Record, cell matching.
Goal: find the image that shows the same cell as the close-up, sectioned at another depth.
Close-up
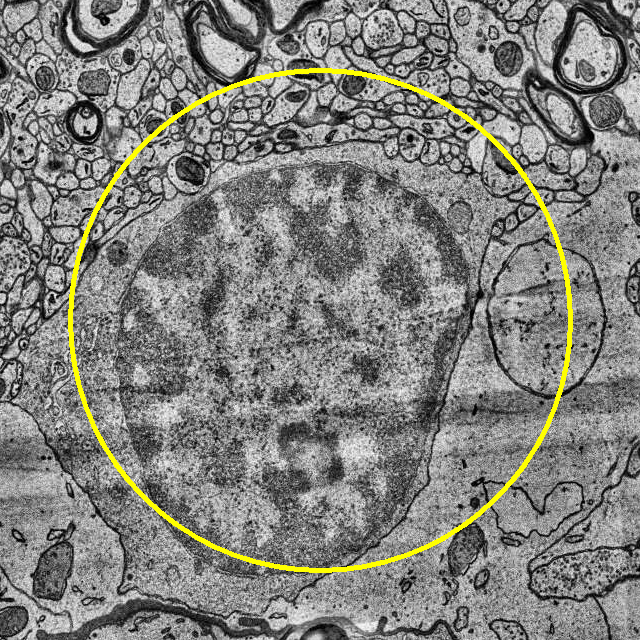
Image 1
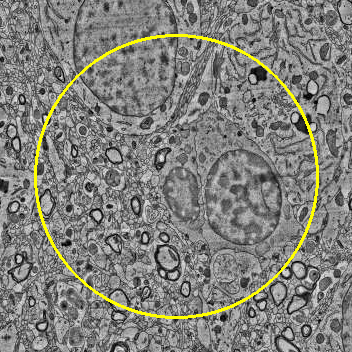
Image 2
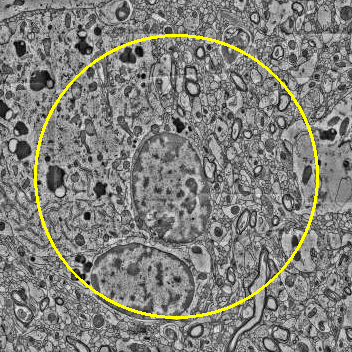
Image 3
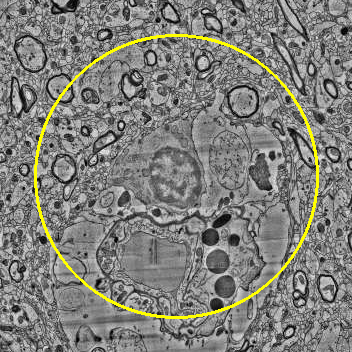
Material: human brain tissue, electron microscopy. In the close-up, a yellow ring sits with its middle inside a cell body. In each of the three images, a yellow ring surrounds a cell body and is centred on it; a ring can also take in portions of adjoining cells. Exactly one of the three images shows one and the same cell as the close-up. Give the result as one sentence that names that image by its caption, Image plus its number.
The cell displayed in the close-up is circled in Image 3.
